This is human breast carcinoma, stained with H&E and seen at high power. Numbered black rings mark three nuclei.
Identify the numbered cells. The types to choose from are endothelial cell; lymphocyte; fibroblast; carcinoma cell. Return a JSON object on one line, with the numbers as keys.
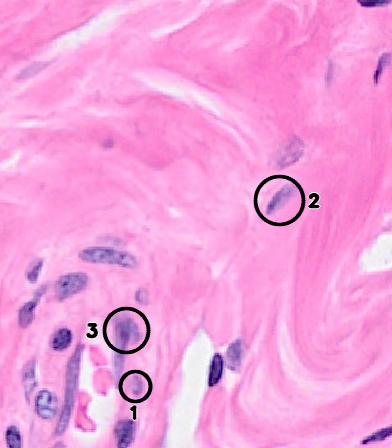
{"1": "endothelial cell", "2": "fibroblast", "3": "endothelial cell"}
